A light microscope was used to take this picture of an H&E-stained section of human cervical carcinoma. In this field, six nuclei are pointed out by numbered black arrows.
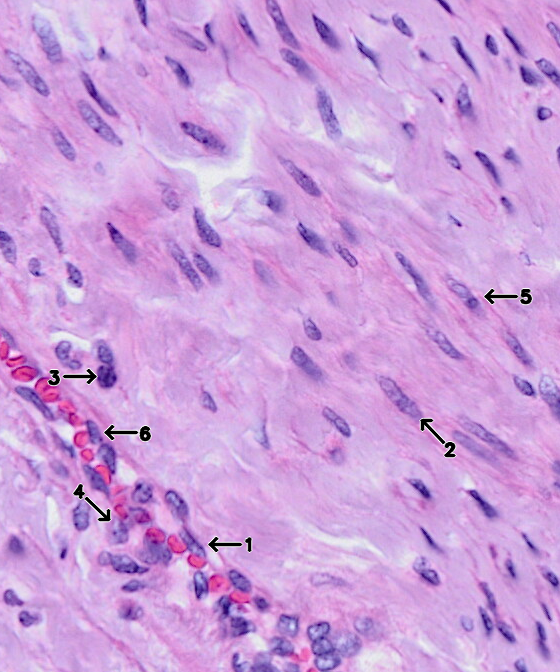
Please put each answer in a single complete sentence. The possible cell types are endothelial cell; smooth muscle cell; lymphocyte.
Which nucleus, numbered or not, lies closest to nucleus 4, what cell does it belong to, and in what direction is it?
An endothelial cell lies closest, above and to the right of nucleus 4.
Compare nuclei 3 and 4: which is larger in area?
At about 1.5 times the area of nucleus 3, nucleus 4 is the larger of the two.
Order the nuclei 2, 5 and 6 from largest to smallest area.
The nuclei rank 5, 2, 6, from largest to smallest.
